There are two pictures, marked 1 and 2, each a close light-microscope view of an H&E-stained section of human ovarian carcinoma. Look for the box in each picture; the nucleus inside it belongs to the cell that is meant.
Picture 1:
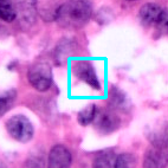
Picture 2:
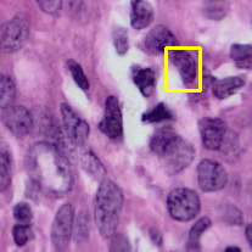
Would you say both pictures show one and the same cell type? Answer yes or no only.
yes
